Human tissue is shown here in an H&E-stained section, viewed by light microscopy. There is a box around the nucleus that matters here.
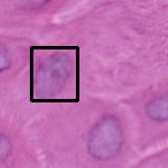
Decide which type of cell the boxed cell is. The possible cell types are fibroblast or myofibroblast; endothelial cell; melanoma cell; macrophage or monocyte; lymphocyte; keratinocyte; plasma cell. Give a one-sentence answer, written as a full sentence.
Cytologically, the boxed cell is to be regarded as a keratinocyte.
